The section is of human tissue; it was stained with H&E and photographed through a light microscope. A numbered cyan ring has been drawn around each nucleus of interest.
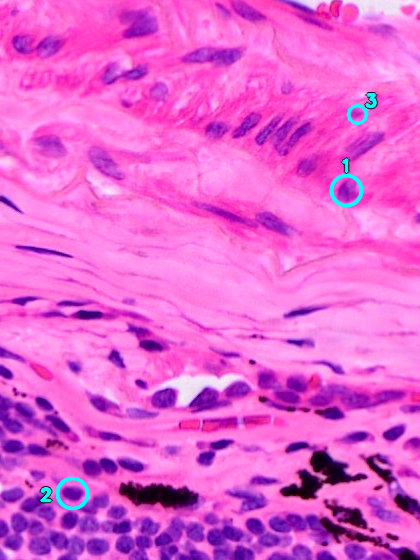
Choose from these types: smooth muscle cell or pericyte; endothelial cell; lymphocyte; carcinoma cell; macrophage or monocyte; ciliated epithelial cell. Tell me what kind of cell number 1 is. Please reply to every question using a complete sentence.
The cell with the number 1 is a smooth muscle cell or pericyte.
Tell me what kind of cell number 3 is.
Regarding cell 3, this one is a smooth muscle cell or pericyte.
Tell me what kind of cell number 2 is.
Belonging to a lymphocyte is the nucleus that carries the number 2.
